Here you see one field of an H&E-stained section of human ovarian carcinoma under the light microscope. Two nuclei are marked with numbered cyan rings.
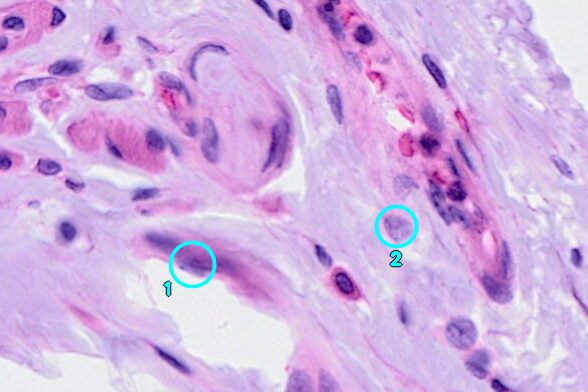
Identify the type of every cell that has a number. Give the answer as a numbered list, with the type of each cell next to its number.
1. endothelial cell
2. fibroblast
